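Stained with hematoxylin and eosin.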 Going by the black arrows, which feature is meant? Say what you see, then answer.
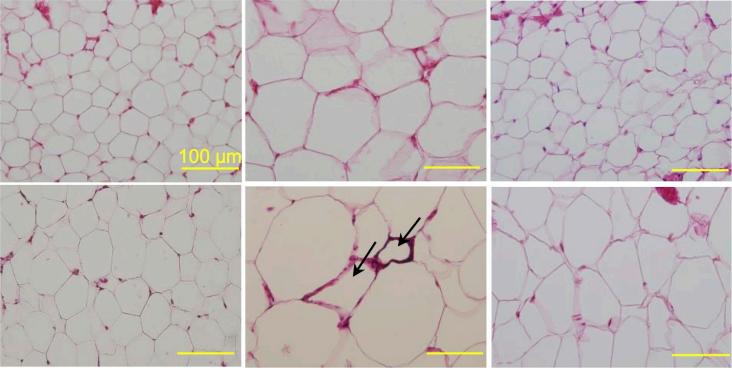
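Crown-liked structure. These dark cells lie in a thin band around the rim of an adipocyte.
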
